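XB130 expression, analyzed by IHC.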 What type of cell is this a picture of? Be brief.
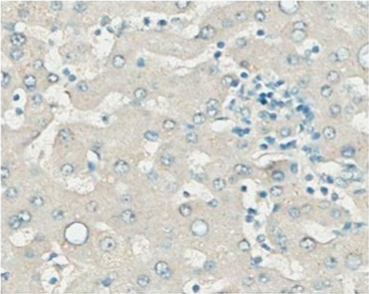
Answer: Hepatocyte.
